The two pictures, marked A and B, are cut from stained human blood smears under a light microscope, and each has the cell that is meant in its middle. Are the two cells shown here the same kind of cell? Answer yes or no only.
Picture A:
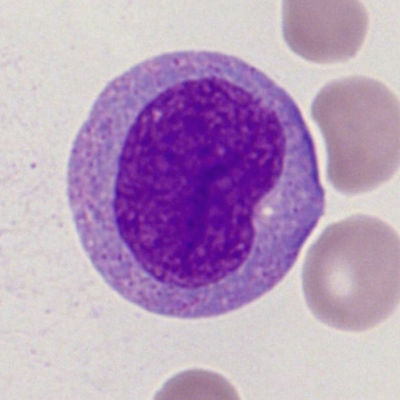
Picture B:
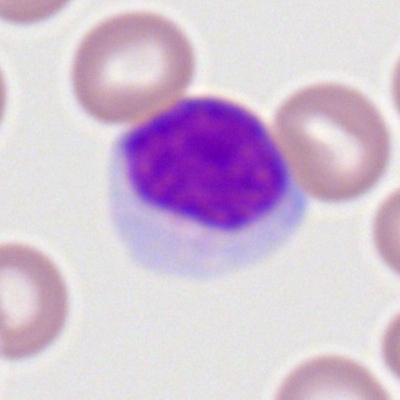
no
